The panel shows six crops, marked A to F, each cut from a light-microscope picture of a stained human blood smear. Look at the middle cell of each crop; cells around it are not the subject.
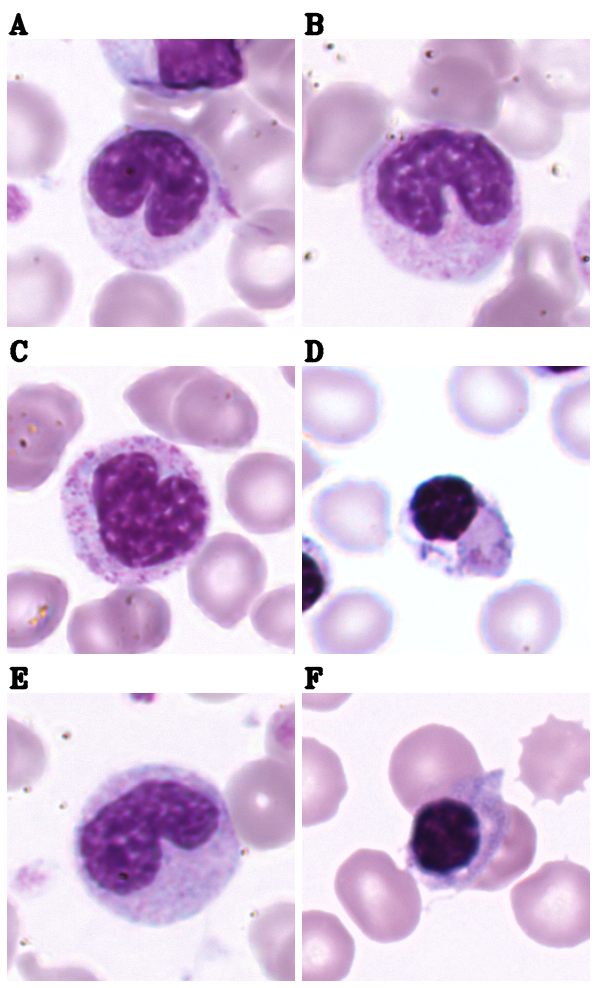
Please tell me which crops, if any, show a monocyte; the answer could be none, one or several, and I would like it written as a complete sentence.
Not represented in any of the crops is a monocyte.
